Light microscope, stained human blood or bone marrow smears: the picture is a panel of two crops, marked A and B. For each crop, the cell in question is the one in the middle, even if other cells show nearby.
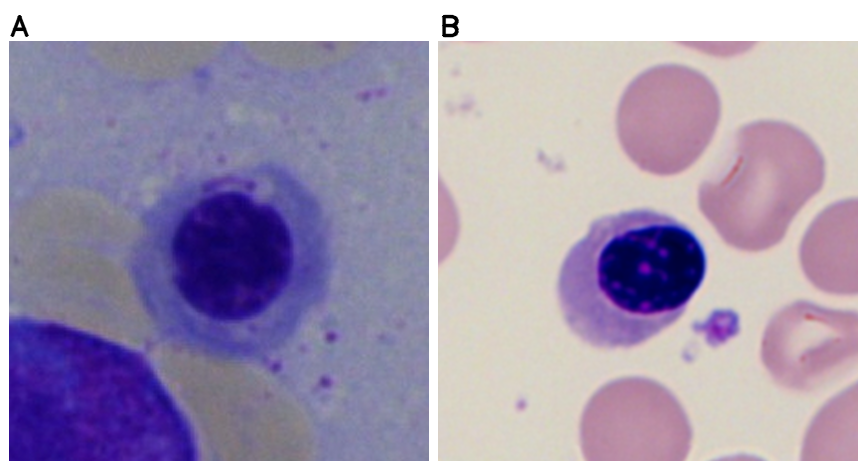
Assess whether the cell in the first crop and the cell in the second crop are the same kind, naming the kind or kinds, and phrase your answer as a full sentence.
Yes, both crops show erythroblasts, and the two match.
